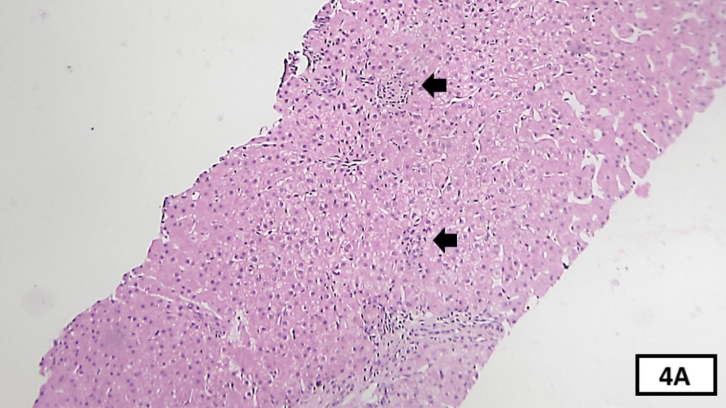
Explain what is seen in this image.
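A long core of liver shows sheets of pink hepatocytes in plates separated by narrow sinusoids, with a few small clusters of dark-nucleated inflammatory cells scattered inside the lobule and a portal tract with inflammatory cells towards the lower part. These small clusters are tiny foci of lobular inflammation.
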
